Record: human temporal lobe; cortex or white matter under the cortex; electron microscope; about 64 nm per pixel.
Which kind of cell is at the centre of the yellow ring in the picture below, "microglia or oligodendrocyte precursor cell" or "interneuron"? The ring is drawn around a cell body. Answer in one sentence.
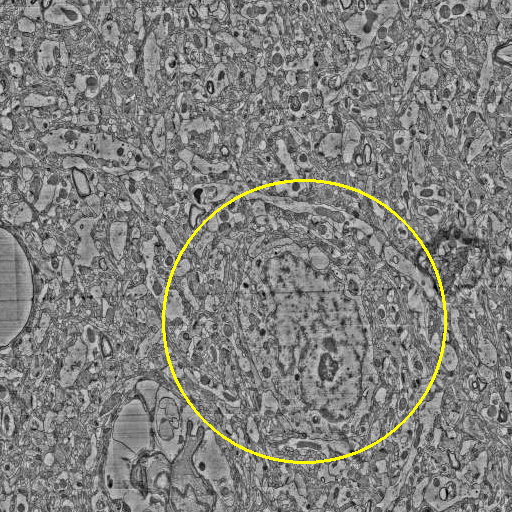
The ring's central cell is an interneuron.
